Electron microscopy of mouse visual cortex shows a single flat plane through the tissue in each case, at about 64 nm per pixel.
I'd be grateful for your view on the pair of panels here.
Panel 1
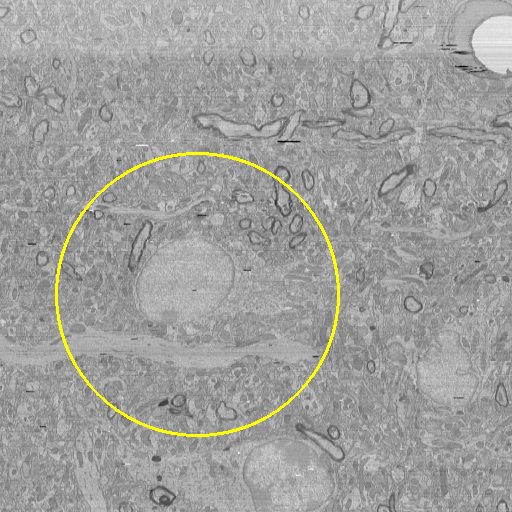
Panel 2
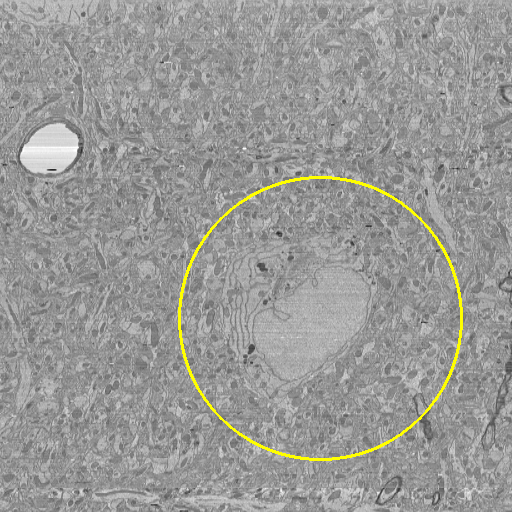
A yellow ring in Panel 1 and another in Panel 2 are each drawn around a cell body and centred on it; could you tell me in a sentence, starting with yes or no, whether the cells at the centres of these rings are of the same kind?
No, they are two kinds of cell.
